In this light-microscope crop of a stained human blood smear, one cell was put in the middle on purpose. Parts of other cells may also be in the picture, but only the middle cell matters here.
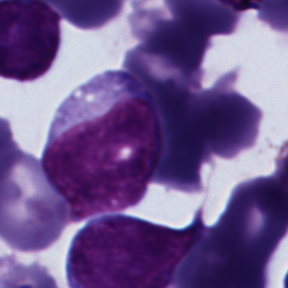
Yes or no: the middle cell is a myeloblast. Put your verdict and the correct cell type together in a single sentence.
Yes, the cell positioned at the centre of the crop is a myeloblast.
